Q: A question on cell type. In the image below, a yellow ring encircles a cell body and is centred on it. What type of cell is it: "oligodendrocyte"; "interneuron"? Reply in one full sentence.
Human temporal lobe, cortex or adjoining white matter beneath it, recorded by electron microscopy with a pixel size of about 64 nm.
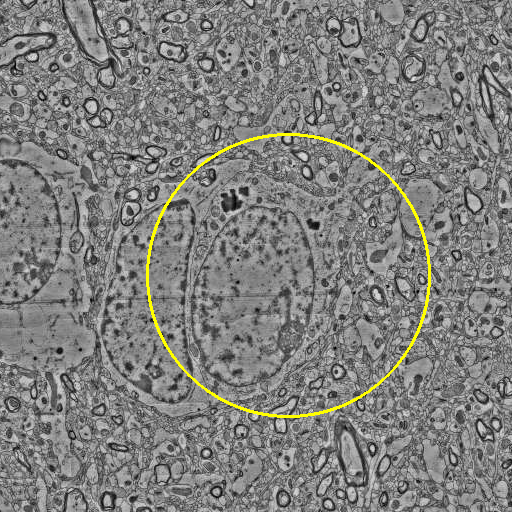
It is an interneuron whose cell body sits at the centre of the yellow ring in the image.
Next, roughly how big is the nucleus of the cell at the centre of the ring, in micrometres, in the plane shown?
In this plane the nucleus measures about 12 by 8 micrometres and is clearly longer than it is wide.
